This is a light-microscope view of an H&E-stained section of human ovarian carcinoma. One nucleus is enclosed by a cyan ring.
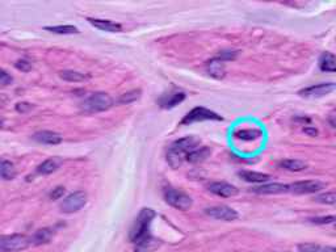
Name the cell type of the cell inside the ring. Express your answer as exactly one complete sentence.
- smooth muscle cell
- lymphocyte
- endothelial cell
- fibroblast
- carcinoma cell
Speaking plainly, the cell inside the ring is nothing other than a smooth muscle cell.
